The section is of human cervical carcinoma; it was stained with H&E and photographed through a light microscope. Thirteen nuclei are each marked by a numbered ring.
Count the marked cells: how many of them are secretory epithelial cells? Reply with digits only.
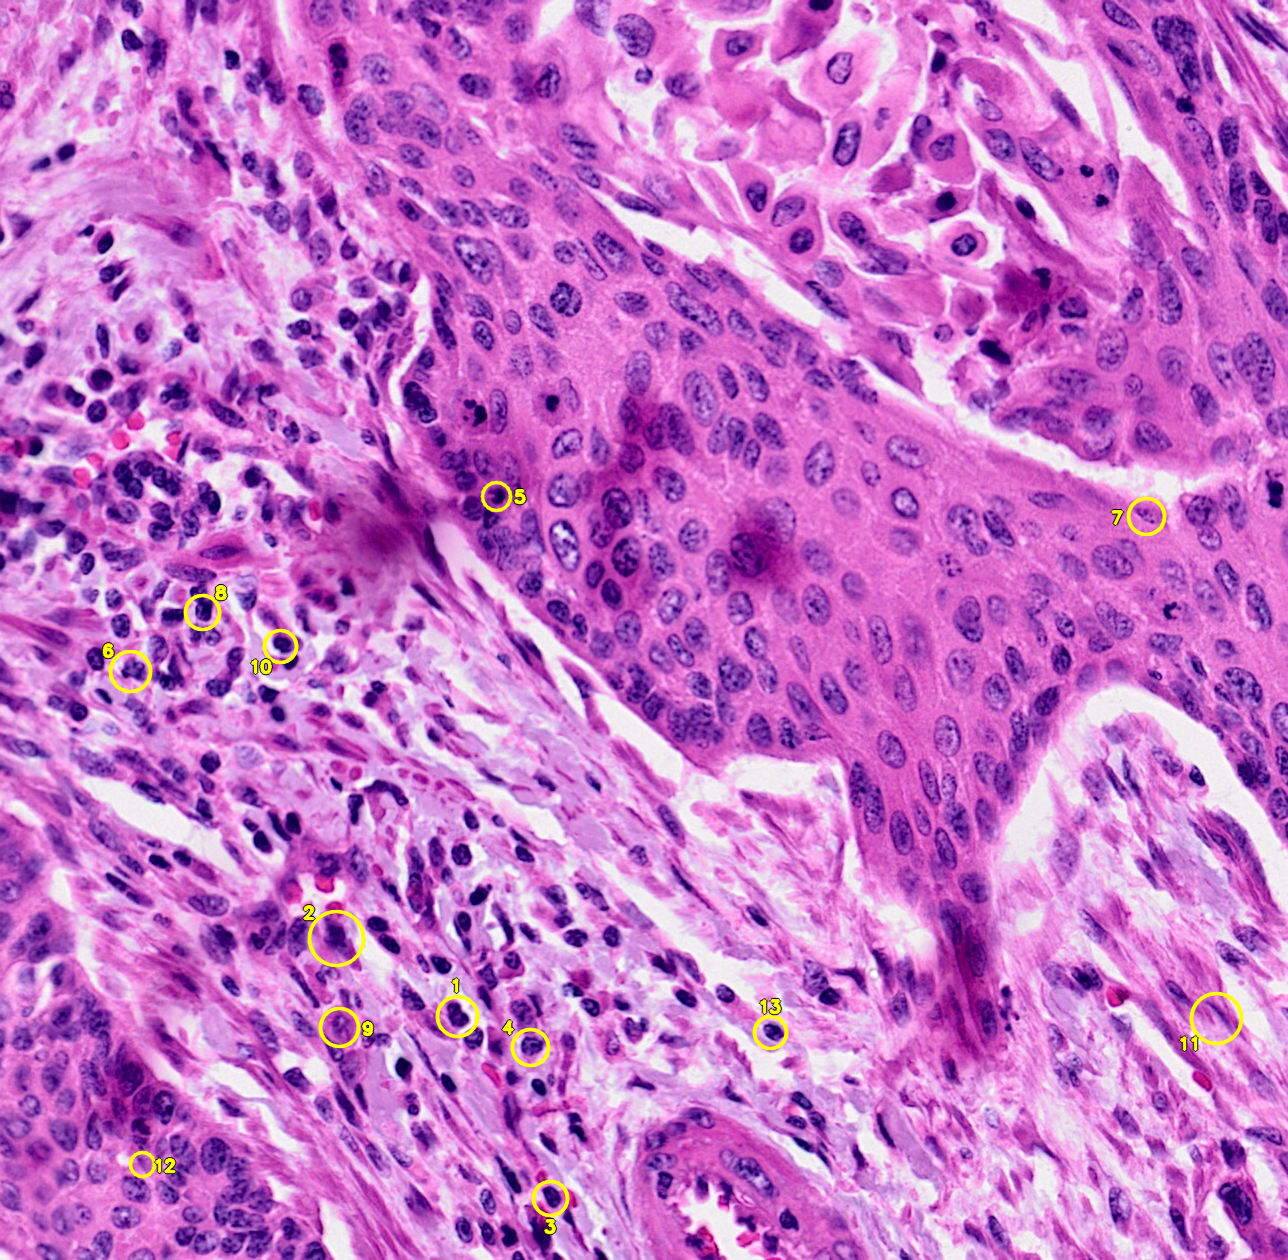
0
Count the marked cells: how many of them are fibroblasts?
1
